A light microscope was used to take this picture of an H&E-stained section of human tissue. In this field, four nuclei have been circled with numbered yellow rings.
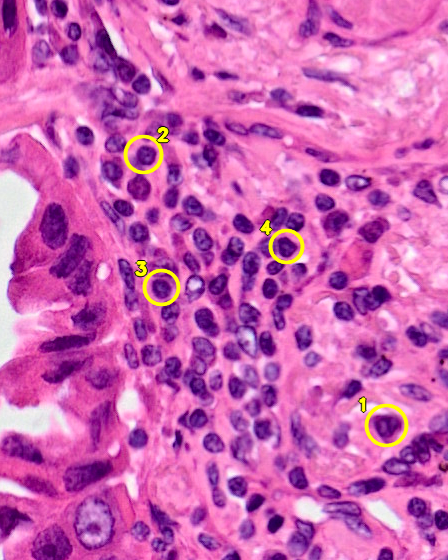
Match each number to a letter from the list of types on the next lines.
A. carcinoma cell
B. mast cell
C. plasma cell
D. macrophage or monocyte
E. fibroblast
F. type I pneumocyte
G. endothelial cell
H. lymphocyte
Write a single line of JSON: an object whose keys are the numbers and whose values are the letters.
{"1": "C", "2": "H", "3": "H", "4": "H"}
